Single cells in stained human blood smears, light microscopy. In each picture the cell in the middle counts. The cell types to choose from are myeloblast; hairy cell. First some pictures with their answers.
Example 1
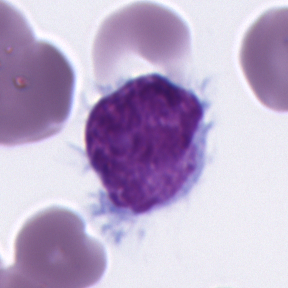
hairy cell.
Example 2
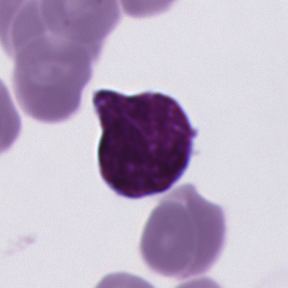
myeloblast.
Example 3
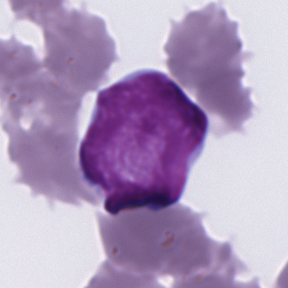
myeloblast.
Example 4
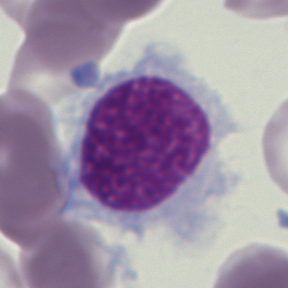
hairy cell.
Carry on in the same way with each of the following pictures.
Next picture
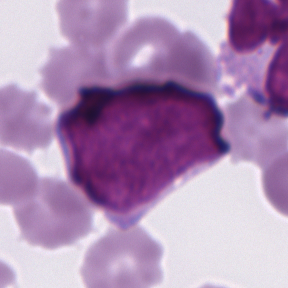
myeloblast.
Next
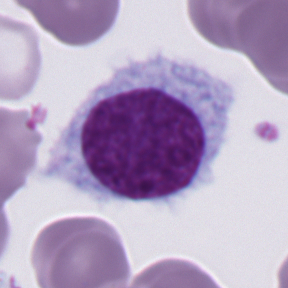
hairy cell.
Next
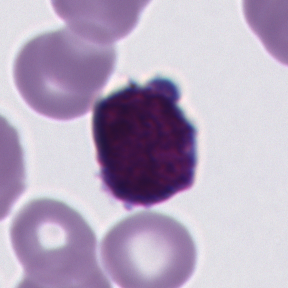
myeloblast.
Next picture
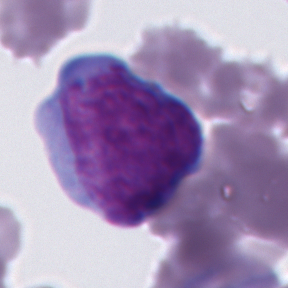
myeloblast.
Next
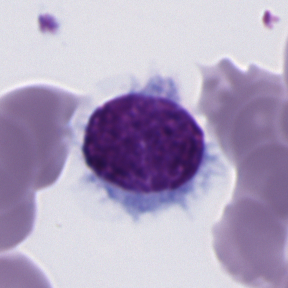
hairy cell.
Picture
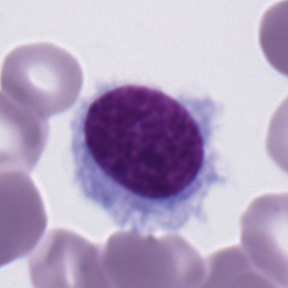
hairy cell.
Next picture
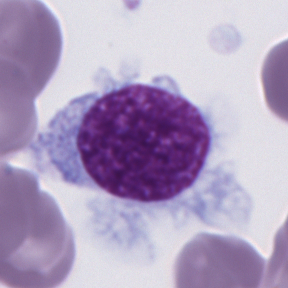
hairy cell.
